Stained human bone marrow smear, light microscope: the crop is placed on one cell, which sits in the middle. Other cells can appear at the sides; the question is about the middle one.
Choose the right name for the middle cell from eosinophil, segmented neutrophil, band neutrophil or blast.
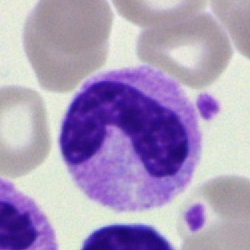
band neutrophil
